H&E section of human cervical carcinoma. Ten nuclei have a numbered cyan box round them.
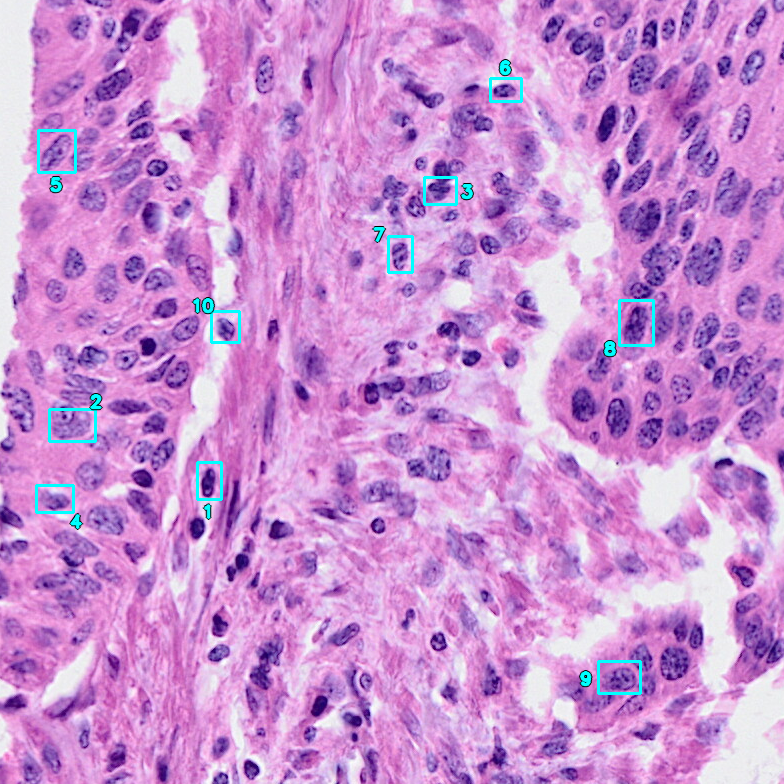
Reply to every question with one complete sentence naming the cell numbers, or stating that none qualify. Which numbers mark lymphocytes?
The cells marked with the numbers 1, 3, 6, 7 and 10 are lymphocytes.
